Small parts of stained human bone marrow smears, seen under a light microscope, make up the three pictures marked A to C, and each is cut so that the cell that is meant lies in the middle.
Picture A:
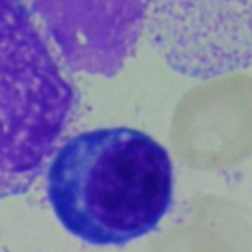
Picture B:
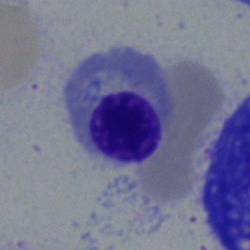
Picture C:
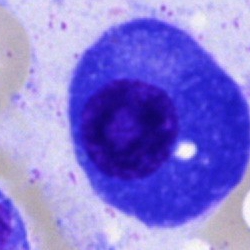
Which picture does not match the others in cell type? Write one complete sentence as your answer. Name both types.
The others show plasma cells, but picture B shows an erythroblast.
